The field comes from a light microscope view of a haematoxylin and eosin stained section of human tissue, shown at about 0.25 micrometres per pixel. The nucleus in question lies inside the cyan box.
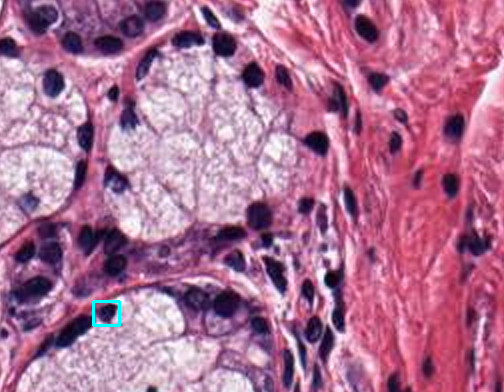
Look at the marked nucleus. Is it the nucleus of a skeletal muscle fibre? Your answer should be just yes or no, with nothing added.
no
